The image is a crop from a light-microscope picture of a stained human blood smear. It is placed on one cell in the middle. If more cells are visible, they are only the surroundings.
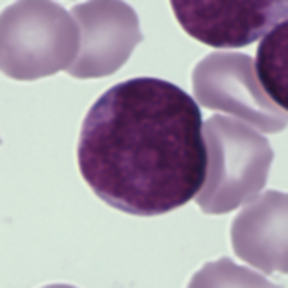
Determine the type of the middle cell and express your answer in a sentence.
Looking at the middle of the crop, the cell there is a myeloblast.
